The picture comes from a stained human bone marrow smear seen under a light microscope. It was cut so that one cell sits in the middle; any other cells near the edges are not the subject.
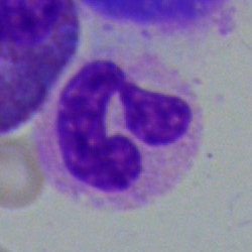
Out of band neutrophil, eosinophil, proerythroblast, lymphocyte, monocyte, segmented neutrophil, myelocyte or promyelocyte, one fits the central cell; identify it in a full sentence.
By type, the central cell of the crop is a segmented neutrophil.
